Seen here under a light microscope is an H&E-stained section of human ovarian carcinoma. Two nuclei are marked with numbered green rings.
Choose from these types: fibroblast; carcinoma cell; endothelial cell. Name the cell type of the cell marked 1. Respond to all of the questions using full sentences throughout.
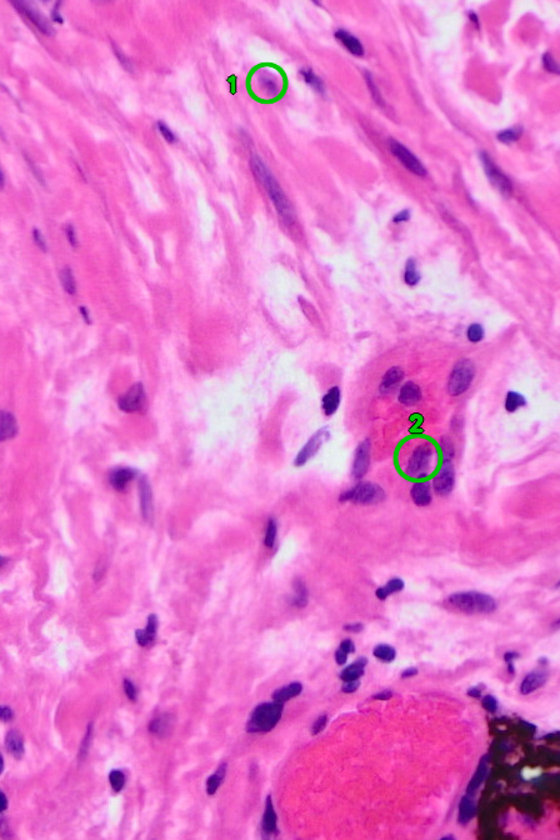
The marked cell with the number 1 is recognised as a fibroblast.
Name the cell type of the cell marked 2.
The cell identified by number 2 is an endothelial cell.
